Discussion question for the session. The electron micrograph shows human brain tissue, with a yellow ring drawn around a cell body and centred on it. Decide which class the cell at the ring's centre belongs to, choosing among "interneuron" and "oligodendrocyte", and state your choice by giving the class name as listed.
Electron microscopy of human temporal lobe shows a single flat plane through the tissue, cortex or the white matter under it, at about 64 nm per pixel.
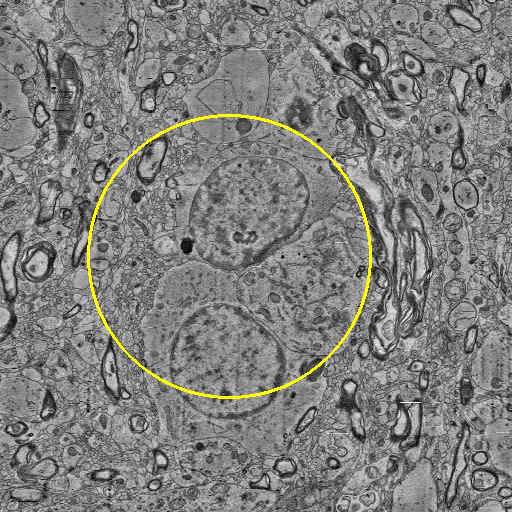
oligodendrocyte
